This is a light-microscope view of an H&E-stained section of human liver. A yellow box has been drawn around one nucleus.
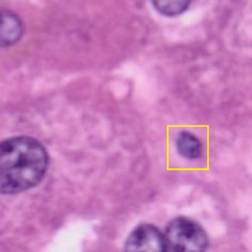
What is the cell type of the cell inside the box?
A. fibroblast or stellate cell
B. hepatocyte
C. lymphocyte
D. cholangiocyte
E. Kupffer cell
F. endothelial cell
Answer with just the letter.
C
